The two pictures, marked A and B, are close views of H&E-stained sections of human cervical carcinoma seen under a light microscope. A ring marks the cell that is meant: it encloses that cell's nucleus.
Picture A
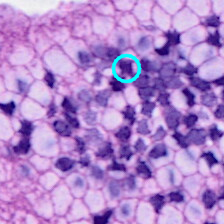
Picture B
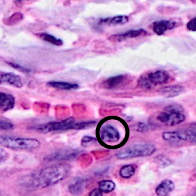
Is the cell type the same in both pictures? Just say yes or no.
no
